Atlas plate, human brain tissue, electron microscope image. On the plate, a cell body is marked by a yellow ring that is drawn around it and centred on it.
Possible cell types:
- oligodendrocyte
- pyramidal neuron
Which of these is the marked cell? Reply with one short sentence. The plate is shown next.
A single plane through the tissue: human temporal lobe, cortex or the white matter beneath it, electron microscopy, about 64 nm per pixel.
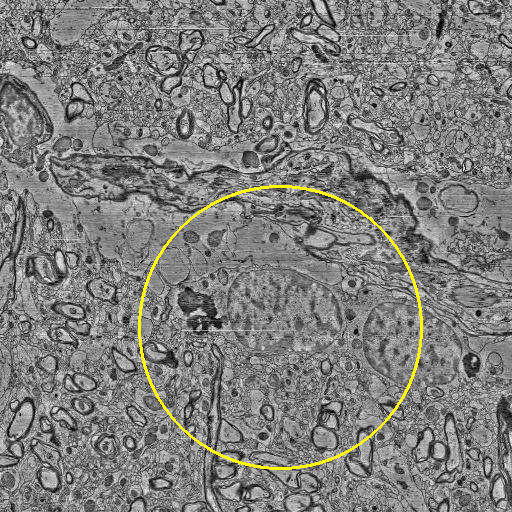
The marked cell is an oligodendrocyte.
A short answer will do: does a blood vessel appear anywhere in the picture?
Yes, there is one.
